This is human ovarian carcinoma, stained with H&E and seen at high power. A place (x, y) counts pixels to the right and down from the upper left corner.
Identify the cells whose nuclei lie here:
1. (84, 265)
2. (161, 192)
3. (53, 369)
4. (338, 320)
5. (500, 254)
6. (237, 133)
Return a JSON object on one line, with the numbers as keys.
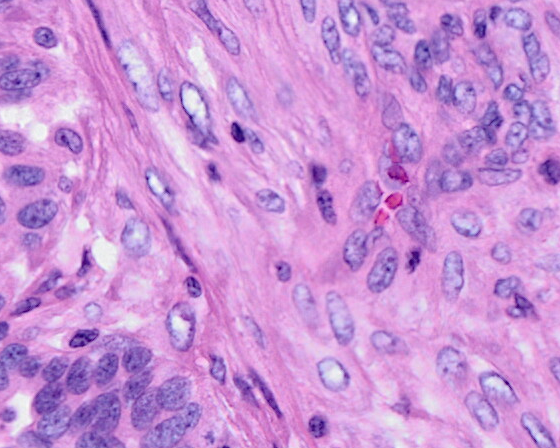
{"1": "fibroblast", "2": "fibroblast", "3": "carcinoma cell", "4": "fibroblast", "5": "fibroblast", "6": "lymphocyte"}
